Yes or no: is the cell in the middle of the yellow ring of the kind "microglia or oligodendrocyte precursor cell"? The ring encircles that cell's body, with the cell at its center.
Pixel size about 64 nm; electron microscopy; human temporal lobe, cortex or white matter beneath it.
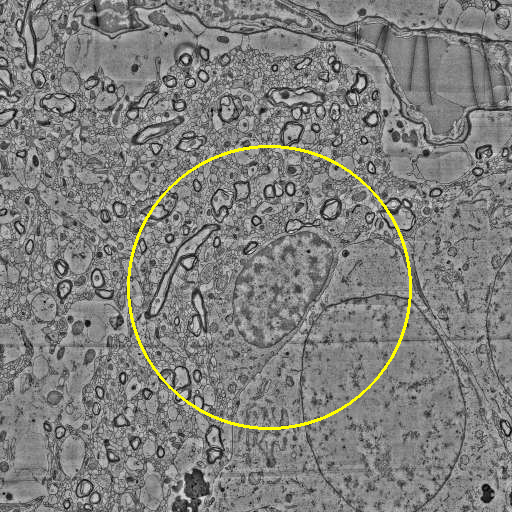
no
